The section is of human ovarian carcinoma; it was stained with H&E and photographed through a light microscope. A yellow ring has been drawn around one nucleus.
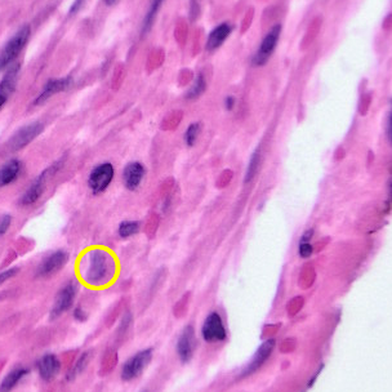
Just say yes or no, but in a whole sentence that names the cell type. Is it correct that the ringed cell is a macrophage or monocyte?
No, the ringed cell is classed as a fibroblast, not a macrophage or monocyte.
